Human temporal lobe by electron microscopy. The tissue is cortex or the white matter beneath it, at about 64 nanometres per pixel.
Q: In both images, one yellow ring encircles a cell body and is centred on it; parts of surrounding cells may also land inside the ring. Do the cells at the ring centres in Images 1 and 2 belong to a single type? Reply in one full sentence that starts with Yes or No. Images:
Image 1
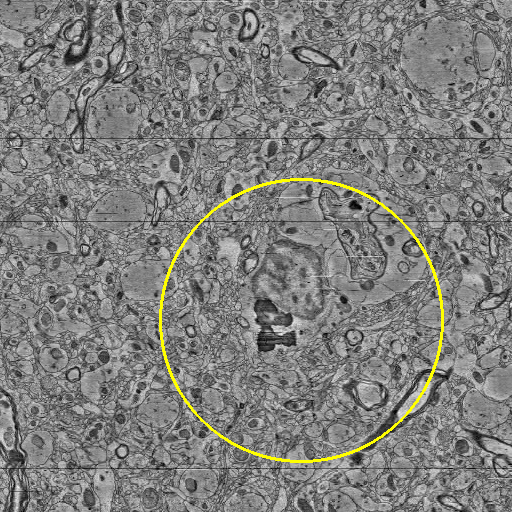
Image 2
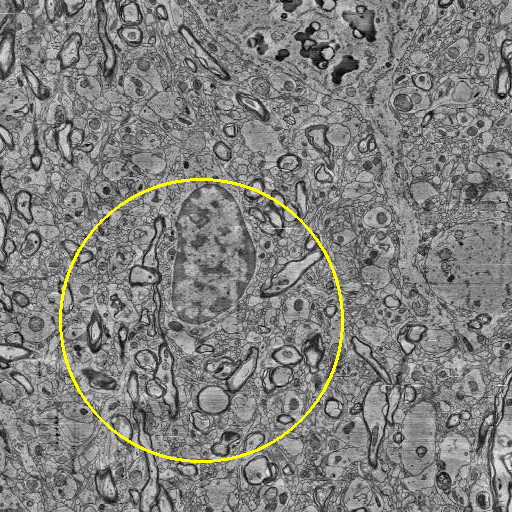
No, the cells at the ring centres in Images 1 and 2 are of two types.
